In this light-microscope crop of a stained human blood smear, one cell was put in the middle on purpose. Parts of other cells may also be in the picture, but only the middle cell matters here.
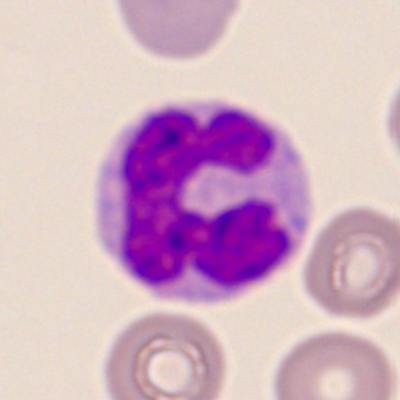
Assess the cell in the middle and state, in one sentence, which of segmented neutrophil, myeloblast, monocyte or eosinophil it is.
The cell of interest, in the center, is a monocyte.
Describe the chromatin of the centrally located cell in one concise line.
One feature to record is coarsely clumped chromatin.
